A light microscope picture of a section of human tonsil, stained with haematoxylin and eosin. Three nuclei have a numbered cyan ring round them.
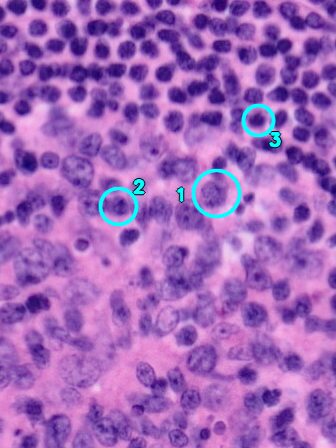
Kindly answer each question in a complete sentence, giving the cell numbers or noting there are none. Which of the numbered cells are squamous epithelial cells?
The count of squamous epithelial cells among the numbered cells is zero.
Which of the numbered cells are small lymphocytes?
The sole numbered cell that is a small lymphocyte is cell 3.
